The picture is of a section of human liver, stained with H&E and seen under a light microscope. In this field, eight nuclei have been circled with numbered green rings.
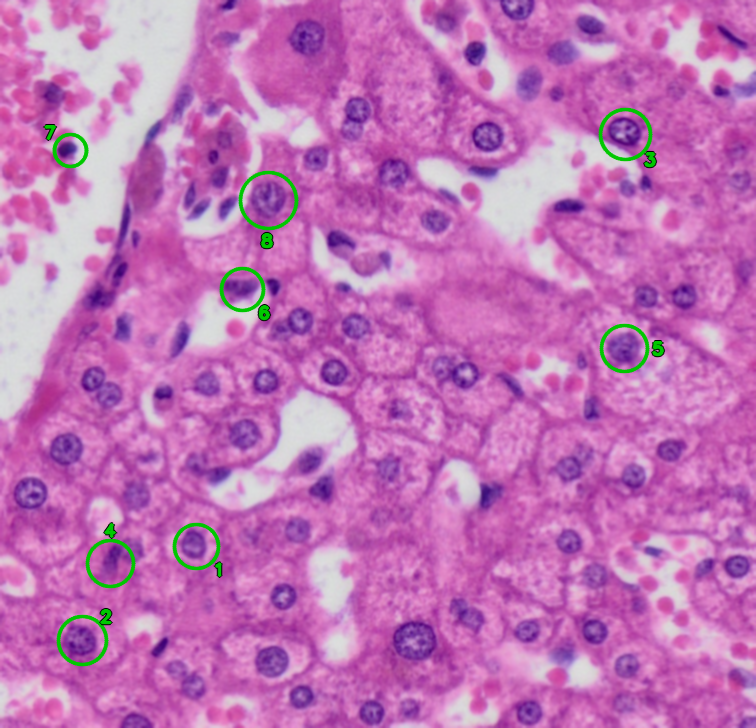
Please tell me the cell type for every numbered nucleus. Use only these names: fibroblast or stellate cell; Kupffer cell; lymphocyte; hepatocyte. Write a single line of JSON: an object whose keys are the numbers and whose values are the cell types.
{"1": "hepatocyte", "2": "hepatocyte", "3": "hepatocyte", "4": "fibroblast or stellate cell", "5": "hepatocyte", "6": "Kupffer cell", "7": "lymphocyte", "8": "hepatocyte"}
